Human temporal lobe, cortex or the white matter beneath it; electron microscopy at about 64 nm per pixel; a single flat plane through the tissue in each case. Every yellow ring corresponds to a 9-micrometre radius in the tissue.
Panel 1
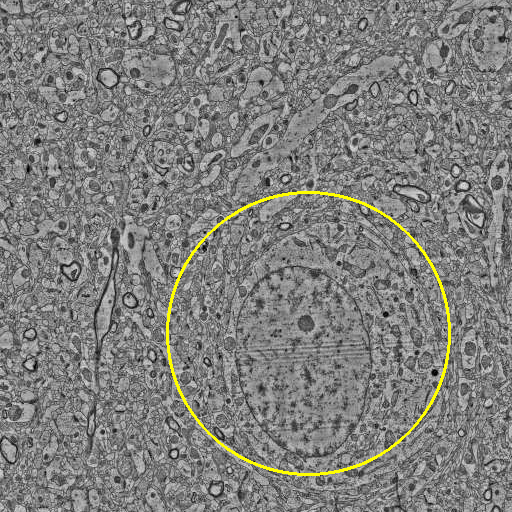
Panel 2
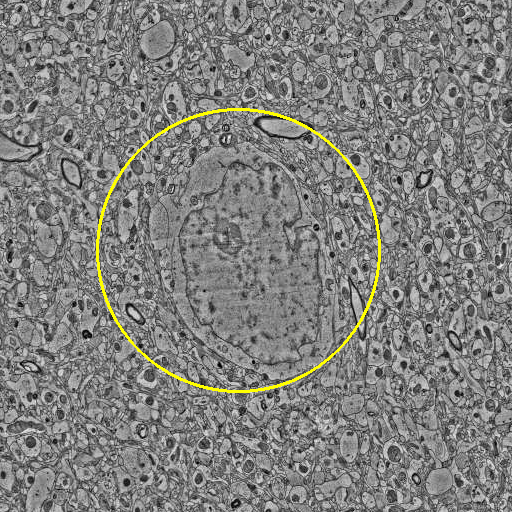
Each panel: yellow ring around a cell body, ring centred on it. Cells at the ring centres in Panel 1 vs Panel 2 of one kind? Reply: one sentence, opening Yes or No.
Yes, Panel 1 and Panel 2 have cells of one kind at the ring centres.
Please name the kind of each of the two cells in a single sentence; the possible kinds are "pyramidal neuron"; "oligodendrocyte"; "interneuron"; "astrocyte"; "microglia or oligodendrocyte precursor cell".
Both pictures show an interneuron at the centre of the ring.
